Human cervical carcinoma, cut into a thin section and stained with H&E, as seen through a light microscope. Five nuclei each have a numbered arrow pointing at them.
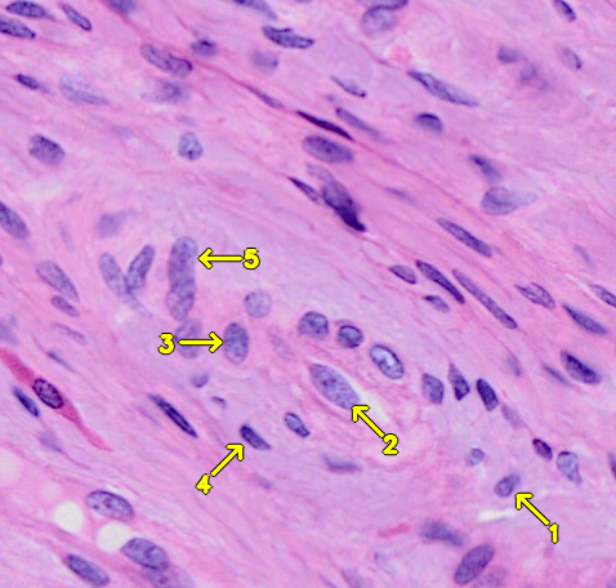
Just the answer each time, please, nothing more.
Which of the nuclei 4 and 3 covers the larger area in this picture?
3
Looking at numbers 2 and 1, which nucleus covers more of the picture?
2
